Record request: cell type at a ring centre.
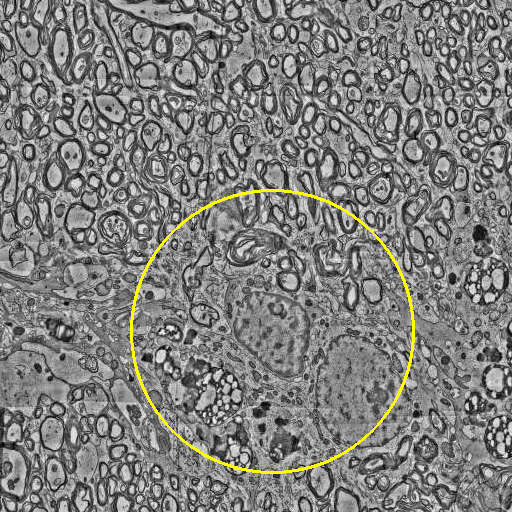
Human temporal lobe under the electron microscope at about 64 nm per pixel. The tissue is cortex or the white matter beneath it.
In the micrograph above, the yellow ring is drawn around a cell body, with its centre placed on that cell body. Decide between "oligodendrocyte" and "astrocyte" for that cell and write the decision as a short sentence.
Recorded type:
The cell centred in the yellow ring is an oligodendrocyte.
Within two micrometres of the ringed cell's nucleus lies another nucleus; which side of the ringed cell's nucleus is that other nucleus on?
The other one is to the lower right of it.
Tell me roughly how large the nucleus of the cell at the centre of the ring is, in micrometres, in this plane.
Roughly 6 micrometres by 5 micrometres, in this plane.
